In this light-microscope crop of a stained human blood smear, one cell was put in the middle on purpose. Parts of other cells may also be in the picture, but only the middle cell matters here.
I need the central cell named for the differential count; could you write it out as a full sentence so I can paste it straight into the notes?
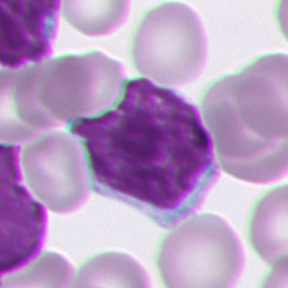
The cell under consideration, at the middle of the crop, is a typical lymphocyte.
